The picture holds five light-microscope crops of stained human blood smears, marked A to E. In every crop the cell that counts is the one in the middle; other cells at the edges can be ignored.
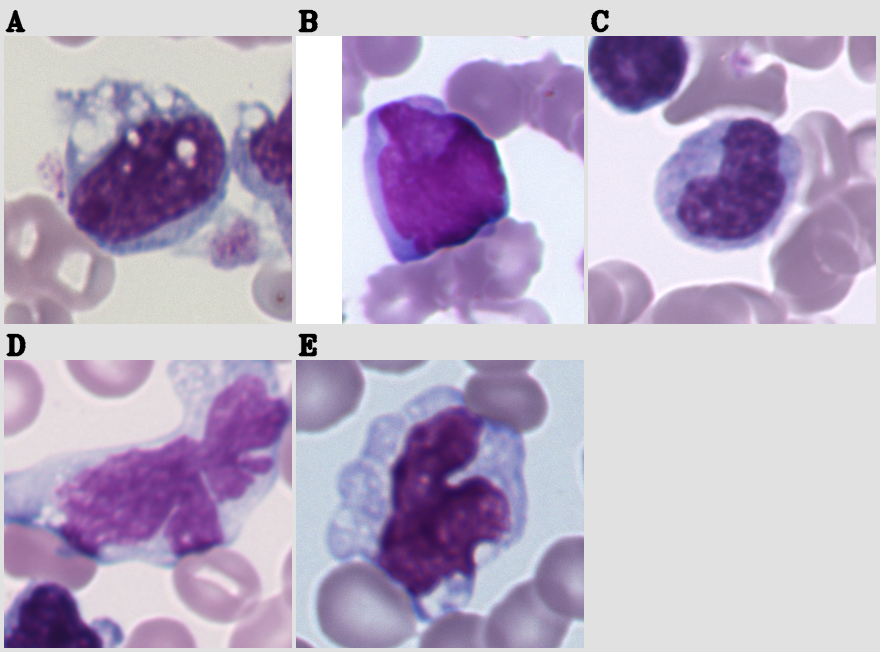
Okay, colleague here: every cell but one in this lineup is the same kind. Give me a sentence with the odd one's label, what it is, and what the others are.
Crop B differs, its cell being a blast, whereas the other crops show monocytes.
